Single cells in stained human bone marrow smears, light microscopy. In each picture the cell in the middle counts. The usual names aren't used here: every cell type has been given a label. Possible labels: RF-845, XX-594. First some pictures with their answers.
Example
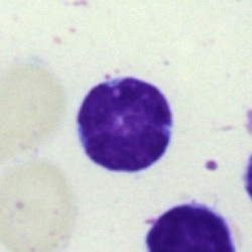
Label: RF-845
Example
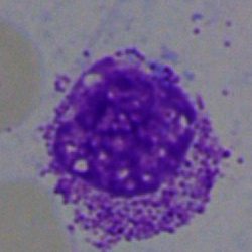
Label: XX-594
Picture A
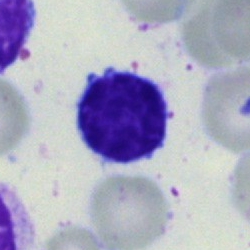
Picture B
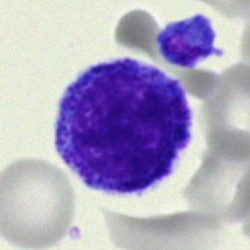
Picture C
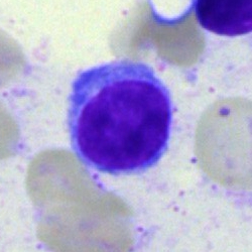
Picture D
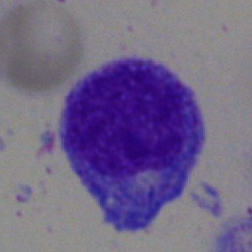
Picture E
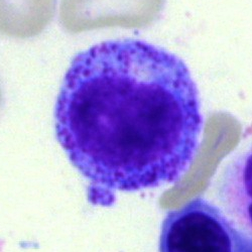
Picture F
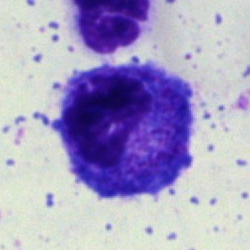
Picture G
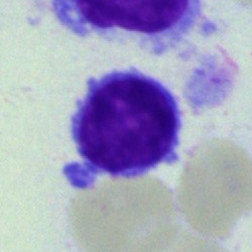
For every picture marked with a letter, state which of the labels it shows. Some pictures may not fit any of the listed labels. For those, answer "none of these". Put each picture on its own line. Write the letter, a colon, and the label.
A: RF-845
B: none of these
C: RF-845
D: none of these
E: XX-594
F: none of these
G: RF-845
